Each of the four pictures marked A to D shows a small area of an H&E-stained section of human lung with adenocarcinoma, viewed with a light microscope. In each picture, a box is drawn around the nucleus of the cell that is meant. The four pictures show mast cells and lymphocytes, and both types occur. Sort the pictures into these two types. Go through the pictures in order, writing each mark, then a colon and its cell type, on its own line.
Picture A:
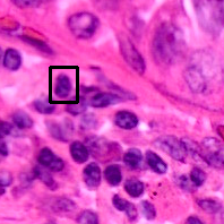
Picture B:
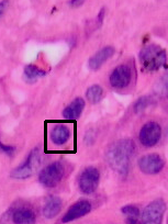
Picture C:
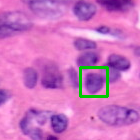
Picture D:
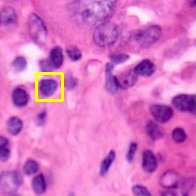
A: lymphocyte
B: mast cell
C: lymphocyte
D: lymphocyte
